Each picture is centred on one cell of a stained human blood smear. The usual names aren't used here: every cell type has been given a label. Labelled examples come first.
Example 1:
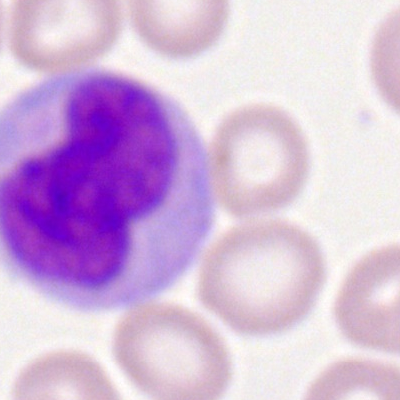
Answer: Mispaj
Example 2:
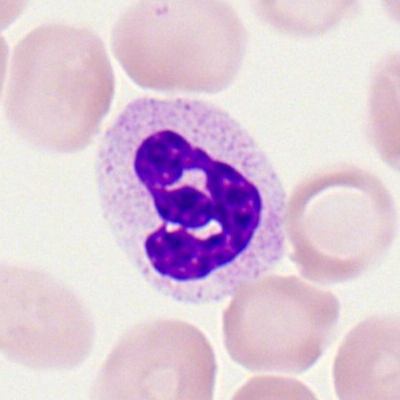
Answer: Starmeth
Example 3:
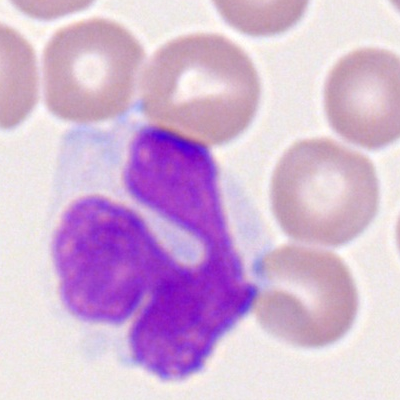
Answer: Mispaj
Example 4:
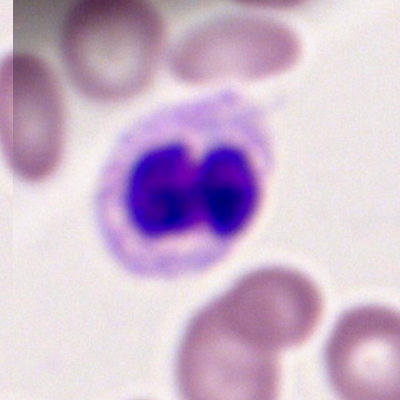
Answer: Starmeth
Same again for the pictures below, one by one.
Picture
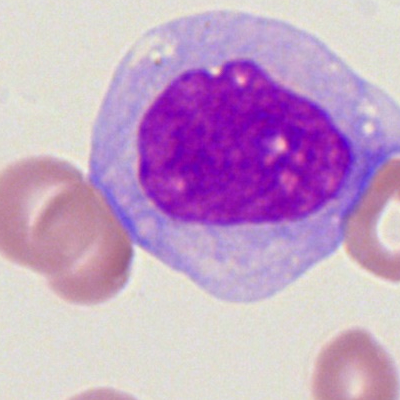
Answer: Mispaj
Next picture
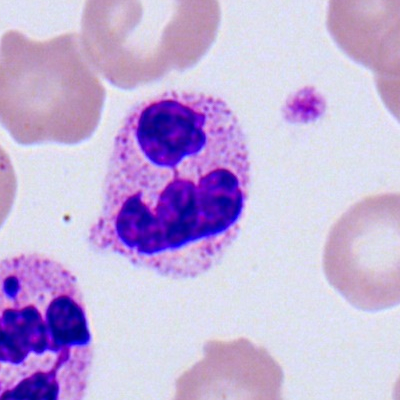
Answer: Starmeth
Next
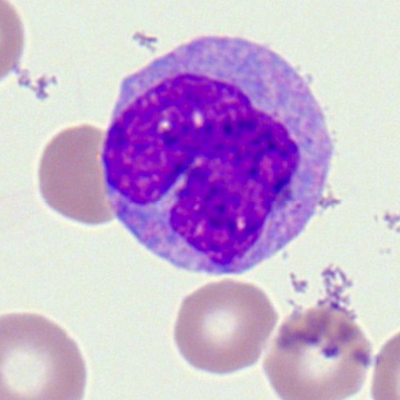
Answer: Mispaj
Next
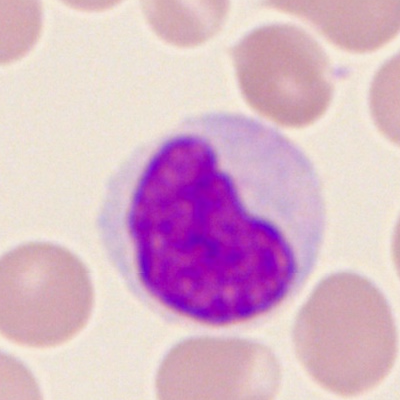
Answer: Mispaj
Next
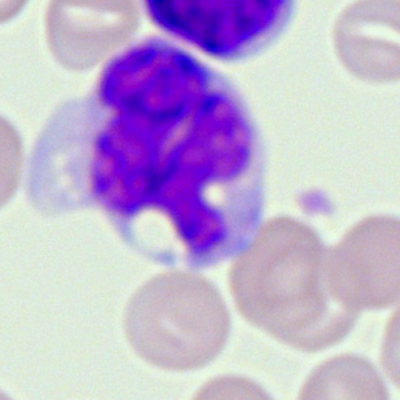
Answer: Mispaj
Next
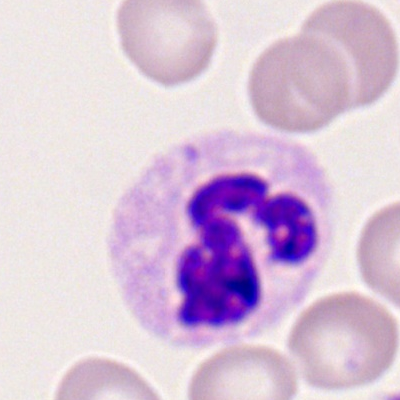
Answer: Starmeth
